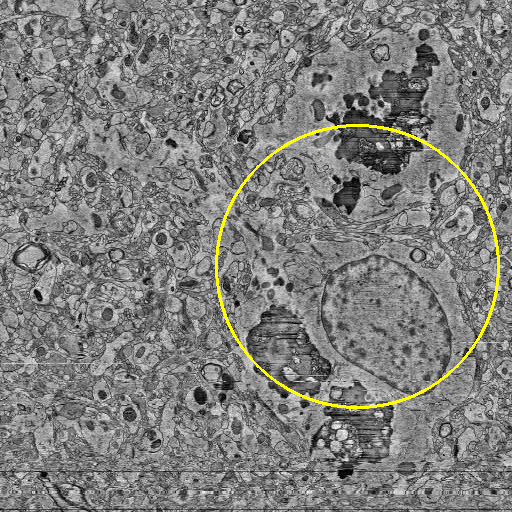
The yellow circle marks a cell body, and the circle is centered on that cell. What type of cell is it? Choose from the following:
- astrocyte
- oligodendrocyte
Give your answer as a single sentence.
This cell body belongs to an astrocyte.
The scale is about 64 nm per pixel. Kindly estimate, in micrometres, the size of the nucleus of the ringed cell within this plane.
About 10 by 7 micrometres in this plane.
